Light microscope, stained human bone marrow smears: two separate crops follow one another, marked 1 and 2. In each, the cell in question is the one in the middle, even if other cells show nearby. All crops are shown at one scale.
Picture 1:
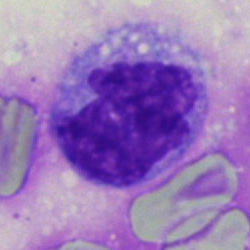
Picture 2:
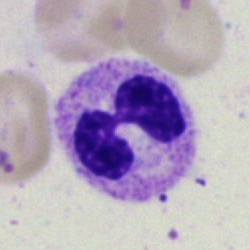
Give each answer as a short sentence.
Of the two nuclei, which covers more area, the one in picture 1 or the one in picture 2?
It is the nucleus in picture 1, about 2 times as large in area as the one in picture 2.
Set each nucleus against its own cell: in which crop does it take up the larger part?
In picture 1 the nucleus takes up the larger part of its cell.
